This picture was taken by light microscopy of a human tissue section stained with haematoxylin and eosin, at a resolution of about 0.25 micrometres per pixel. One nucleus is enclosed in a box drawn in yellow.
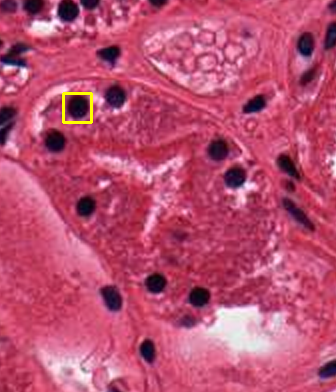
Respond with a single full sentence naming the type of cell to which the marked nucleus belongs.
The marked nucleus is contained in a proximal tubule cell.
